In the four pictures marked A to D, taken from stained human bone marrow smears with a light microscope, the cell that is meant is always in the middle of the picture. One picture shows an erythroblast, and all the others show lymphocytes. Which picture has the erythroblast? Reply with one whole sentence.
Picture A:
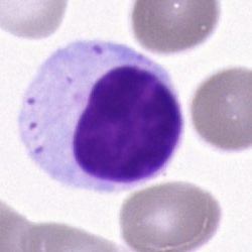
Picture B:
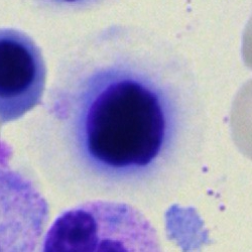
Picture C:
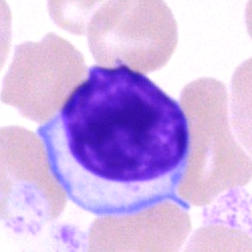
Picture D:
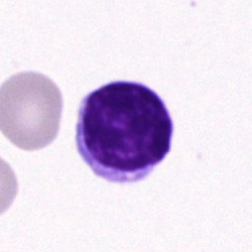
The erythroblast is the one in picture B.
